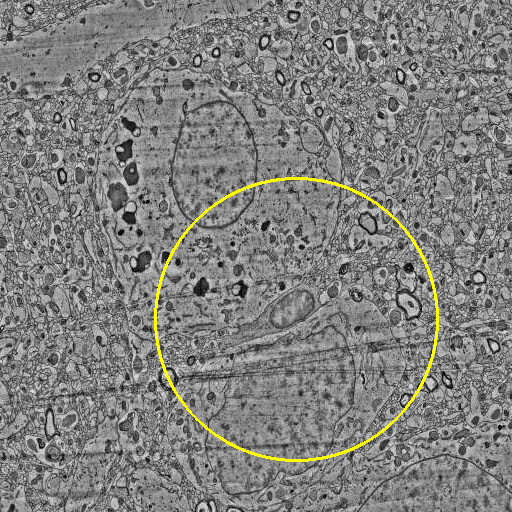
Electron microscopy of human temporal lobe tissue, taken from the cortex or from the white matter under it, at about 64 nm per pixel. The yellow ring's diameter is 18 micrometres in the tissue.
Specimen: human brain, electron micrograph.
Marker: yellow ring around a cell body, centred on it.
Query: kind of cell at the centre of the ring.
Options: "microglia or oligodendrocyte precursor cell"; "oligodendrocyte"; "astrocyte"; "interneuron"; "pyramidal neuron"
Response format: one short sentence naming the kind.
This cell body belongs to an oligodendrocyte.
